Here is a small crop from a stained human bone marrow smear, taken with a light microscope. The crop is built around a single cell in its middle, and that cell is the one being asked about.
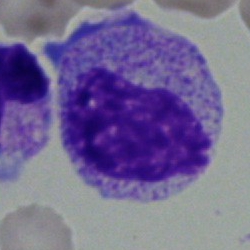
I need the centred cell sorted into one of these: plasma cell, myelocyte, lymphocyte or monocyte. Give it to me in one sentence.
The cell at the middle of the crop is recognized as a myelocyte.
